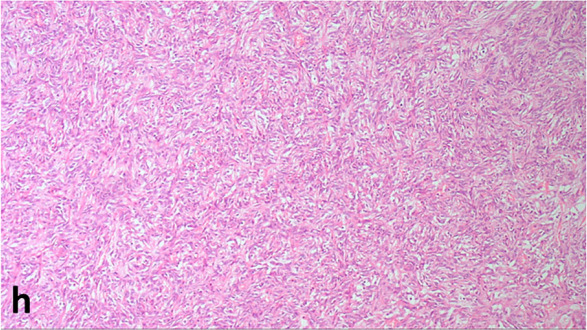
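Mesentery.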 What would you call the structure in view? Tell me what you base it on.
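Short, ill-defined fascicles. Spindle cells run in short bundles that change direction across the field. The bundles lack sharp borders between them.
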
